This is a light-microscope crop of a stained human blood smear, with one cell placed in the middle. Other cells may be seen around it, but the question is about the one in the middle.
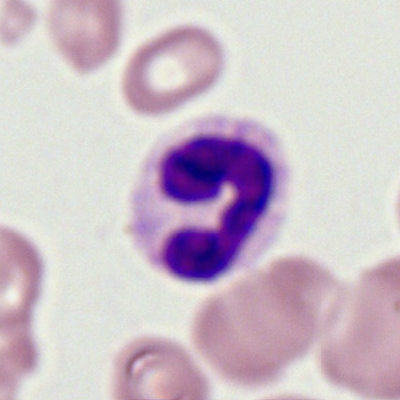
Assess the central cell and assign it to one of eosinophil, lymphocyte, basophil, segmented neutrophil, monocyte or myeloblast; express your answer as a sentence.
Located at the centre of the crop is a segmented neutrophil.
